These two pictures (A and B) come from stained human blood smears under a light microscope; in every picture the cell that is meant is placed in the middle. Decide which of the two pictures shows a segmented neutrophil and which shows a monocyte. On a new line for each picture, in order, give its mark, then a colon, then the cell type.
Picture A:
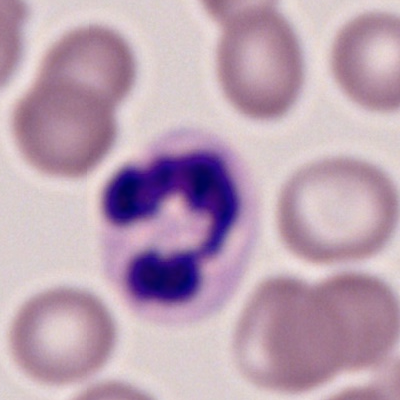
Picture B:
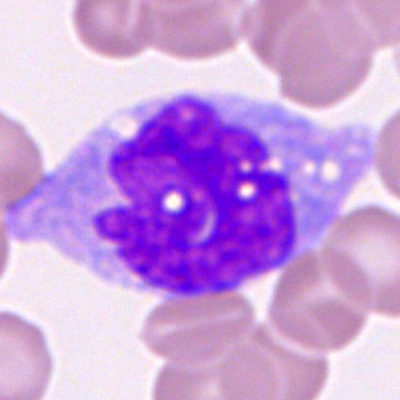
A: segmented neutrophil
B: monocyte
